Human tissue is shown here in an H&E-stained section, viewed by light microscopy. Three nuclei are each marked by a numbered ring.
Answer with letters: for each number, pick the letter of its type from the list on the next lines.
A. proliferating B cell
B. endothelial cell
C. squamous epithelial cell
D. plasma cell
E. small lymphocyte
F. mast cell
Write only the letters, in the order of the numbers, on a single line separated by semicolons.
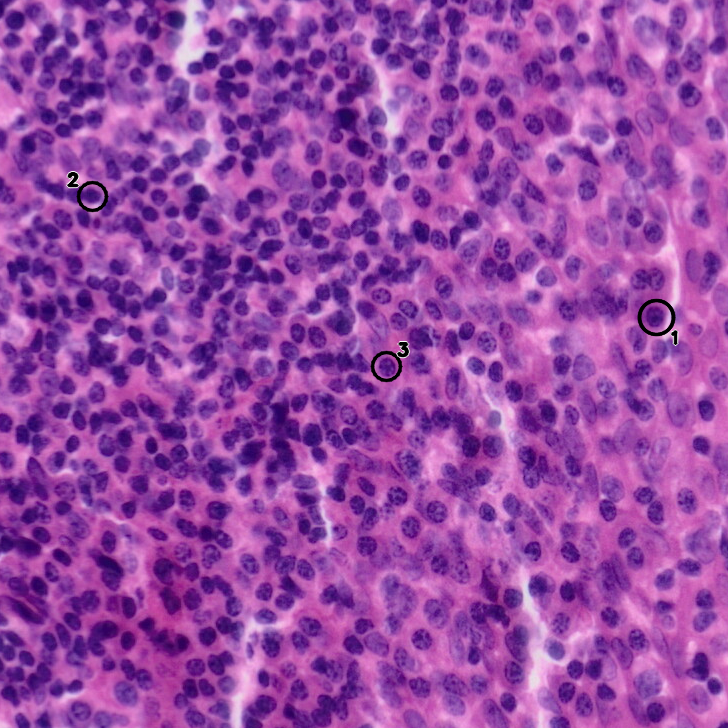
D; E; D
